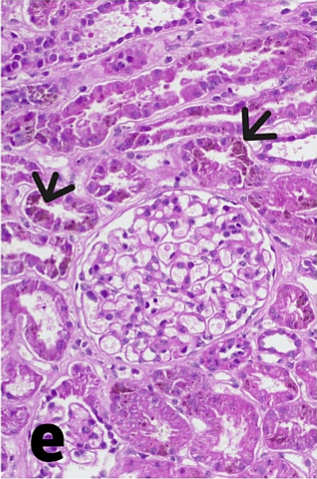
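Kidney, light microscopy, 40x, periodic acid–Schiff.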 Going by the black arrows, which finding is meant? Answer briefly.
Pigment deposits.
